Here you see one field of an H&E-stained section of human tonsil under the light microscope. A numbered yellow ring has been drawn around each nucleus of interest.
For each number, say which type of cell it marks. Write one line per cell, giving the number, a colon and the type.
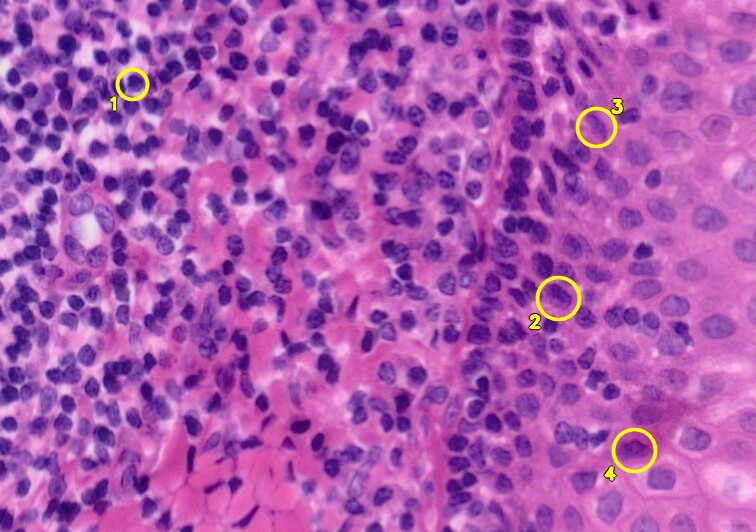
1: small lymphocyte
2: squamous epithelial cell
3: squamous epithelial cell
4: squamous epithelial cell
